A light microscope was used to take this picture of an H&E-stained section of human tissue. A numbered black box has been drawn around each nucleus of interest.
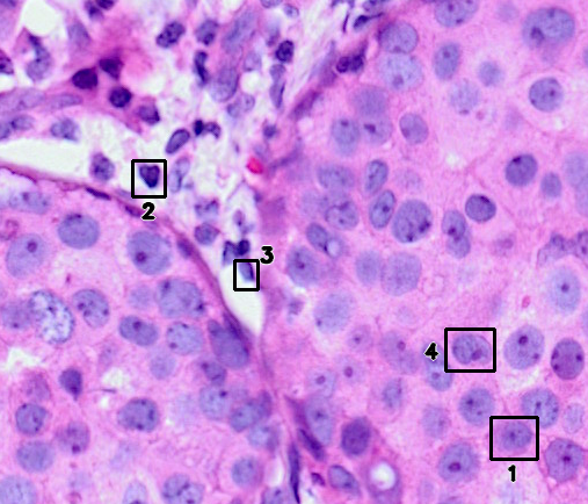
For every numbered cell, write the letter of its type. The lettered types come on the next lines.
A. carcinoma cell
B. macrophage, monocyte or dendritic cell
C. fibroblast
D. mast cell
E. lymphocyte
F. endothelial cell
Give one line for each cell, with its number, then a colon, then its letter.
1: A
2: E
3: E
4: A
